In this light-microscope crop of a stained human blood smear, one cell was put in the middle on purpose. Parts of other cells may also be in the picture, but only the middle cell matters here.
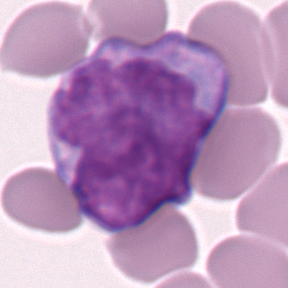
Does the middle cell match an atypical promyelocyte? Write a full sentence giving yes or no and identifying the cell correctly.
Yes, the cell in the middle is recognised as an atypical promyelocyte.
